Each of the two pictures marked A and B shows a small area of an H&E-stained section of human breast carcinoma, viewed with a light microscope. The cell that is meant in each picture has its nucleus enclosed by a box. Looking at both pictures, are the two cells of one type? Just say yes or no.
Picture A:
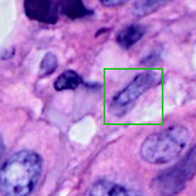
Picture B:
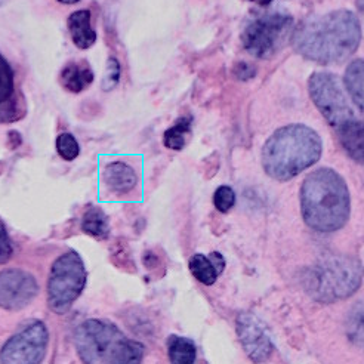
yes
